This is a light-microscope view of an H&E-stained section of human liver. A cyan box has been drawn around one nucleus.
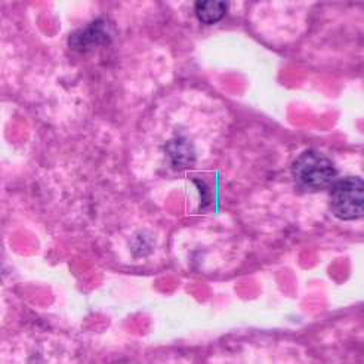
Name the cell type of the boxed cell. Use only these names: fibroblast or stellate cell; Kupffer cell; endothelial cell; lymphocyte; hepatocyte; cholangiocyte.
endothelial cell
